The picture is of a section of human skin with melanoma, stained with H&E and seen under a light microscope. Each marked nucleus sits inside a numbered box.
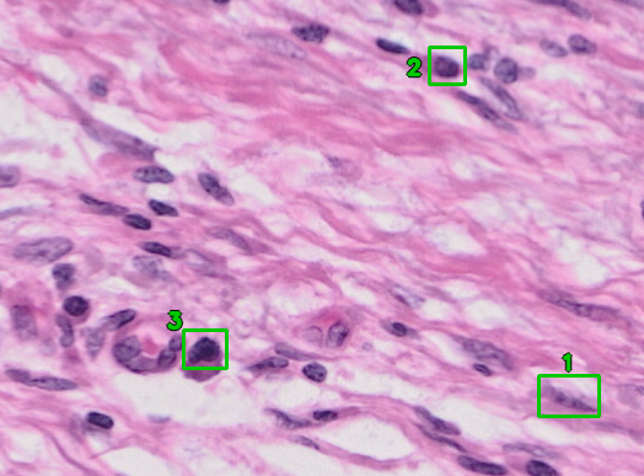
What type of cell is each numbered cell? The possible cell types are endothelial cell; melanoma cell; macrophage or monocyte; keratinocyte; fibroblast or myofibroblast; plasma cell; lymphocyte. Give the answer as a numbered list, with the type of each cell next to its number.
1. fibroblast or myofibroblast
2. plasma cell
3. plasma cell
